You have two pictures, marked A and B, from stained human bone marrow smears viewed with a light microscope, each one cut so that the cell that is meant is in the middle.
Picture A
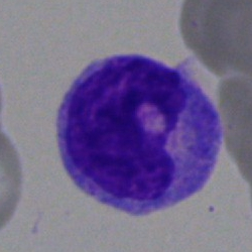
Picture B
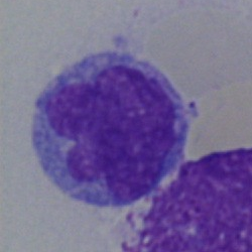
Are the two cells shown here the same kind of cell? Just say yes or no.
yes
